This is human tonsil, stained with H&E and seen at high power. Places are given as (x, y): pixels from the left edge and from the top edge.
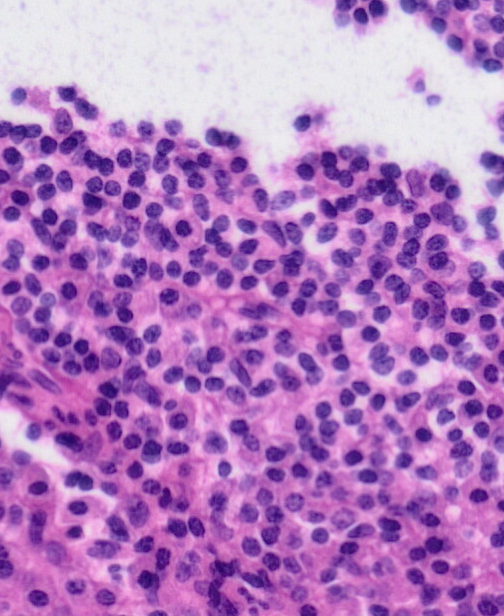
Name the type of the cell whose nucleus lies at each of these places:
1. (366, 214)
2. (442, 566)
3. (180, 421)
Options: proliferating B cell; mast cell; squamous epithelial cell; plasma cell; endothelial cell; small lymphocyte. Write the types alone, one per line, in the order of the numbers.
small lymphocyte
plasma cell
plasma cell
